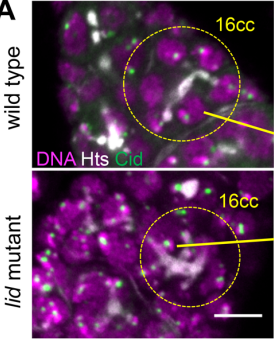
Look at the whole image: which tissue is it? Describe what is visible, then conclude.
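Germarium. Tightly packed small round nuclei make up the tissue. Groups of nuclei are linked by white branched cytoplasmic structures.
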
